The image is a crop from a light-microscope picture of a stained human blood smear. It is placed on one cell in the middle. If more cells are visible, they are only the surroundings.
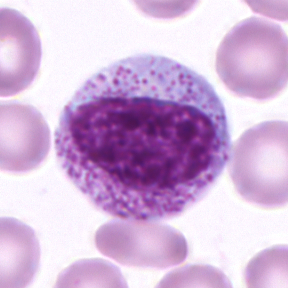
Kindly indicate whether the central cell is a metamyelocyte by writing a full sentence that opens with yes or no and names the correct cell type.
Yes, the cell here in the middle is a metamyelocyte.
